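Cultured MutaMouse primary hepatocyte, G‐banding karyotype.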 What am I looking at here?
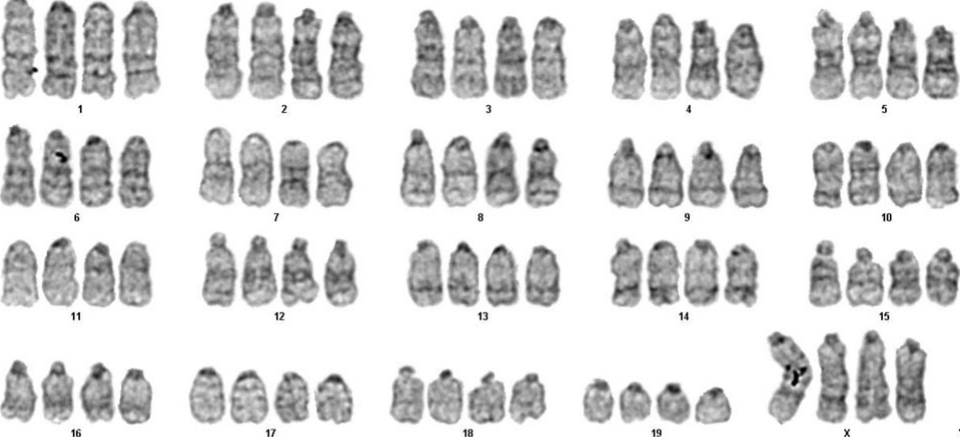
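The chromosomes all have their constriction at one end, and each shows a grey pattern of dark and light cross bands that matches between the copies in a group. A few dark specks of debris lie on some of the chromosomes.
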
